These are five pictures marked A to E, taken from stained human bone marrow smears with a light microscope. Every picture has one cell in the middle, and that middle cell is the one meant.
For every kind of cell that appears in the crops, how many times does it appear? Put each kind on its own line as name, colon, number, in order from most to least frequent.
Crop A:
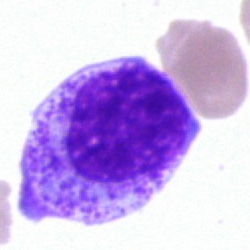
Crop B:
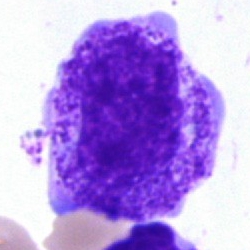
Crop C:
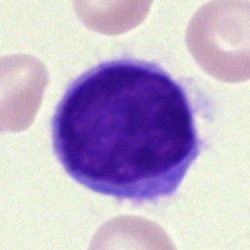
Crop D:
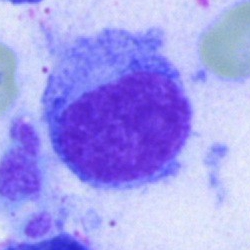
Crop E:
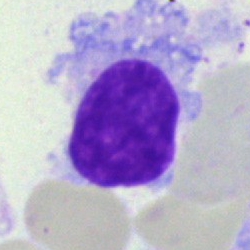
hairy cell: 3
myelocyte: 2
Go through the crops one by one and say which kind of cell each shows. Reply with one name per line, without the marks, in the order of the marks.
myelocyte
myelocyte
hairy cell
hairy cell
hairy cell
